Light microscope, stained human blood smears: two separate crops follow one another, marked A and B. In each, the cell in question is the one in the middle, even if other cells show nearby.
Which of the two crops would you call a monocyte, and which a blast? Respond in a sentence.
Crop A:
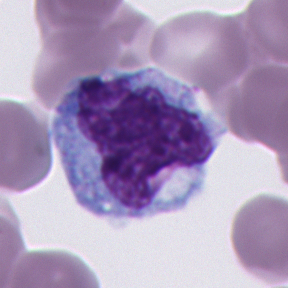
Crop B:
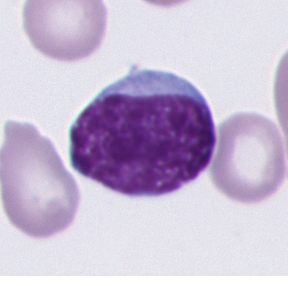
There is a monocyte in crop A and a blast in crop B.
